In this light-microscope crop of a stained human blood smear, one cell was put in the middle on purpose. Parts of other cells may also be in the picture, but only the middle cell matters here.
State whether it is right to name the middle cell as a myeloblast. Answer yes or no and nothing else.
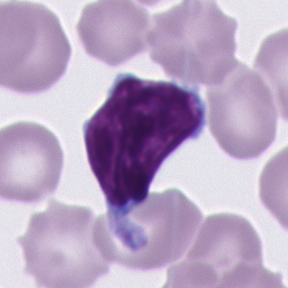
no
